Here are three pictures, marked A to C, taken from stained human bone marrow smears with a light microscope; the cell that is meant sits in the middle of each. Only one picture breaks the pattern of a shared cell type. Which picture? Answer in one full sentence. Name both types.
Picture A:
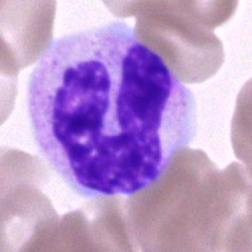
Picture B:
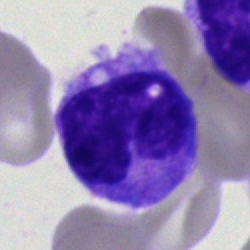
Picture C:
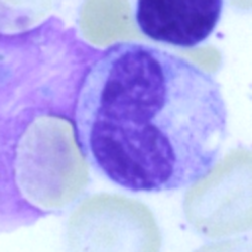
Picture B is the odd one out: it shows a monocyte, while the others show band neutrophils.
